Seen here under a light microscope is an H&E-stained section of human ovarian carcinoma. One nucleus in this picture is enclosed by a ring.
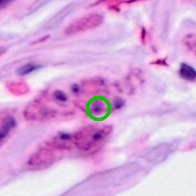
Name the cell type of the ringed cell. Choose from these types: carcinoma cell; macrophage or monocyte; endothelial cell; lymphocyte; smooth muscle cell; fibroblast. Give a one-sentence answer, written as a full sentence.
Within this tissue, the ringed cell is a smooth muscle cell.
